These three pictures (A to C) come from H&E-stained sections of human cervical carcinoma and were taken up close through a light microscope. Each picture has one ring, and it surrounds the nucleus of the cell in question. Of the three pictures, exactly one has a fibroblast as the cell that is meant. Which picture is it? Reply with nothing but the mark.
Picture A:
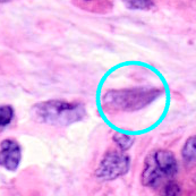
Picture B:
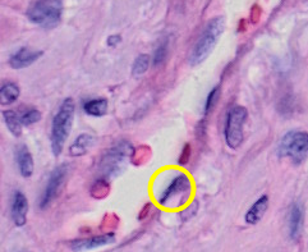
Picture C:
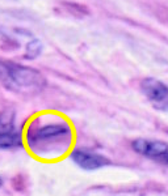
A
